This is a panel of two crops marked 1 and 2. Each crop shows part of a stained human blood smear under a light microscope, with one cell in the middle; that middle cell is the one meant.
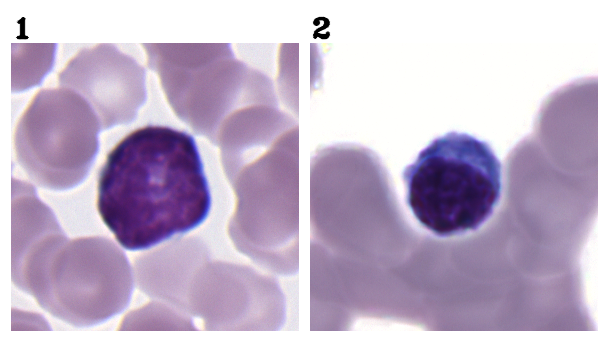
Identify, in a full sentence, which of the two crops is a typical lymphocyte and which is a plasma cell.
Crop 1 is occupied by a typical lymphocyte, and crop 2 is occupied by a plasma cell.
